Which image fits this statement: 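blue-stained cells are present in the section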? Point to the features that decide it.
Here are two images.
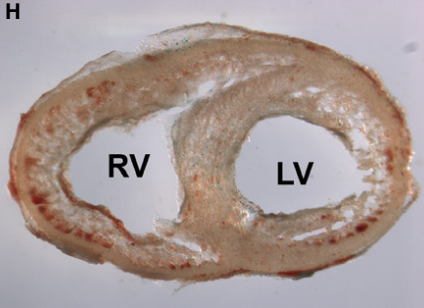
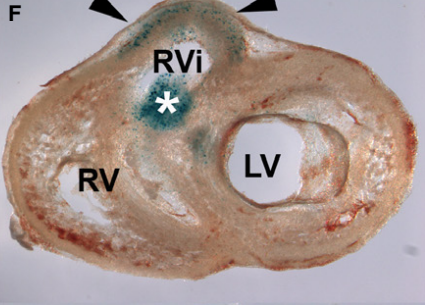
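The second image. First image: the two ventricular chambers show only brownish walls without blue staining.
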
